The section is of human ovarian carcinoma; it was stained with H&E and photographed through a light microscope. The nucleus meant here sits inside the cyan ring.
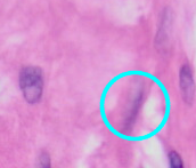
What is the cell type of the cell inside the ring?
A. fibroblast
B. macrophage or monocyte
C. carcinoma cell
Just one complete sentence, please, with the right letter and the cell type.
Option A names it right: the cell inside the ring is a fibroblast.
